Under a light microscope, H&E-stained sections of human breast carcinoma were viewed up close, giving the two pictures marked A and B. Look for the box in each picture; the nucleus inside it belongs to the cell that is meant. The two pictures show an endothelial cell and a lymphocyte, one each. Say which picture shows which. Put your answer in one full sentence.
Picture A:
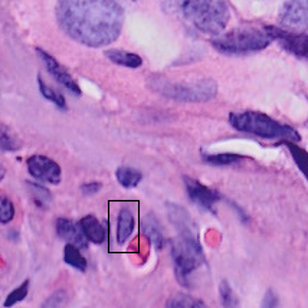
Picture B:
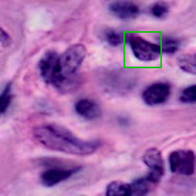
In picture A the cell is an endothelial cell; in picture B, a lymphocyte.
